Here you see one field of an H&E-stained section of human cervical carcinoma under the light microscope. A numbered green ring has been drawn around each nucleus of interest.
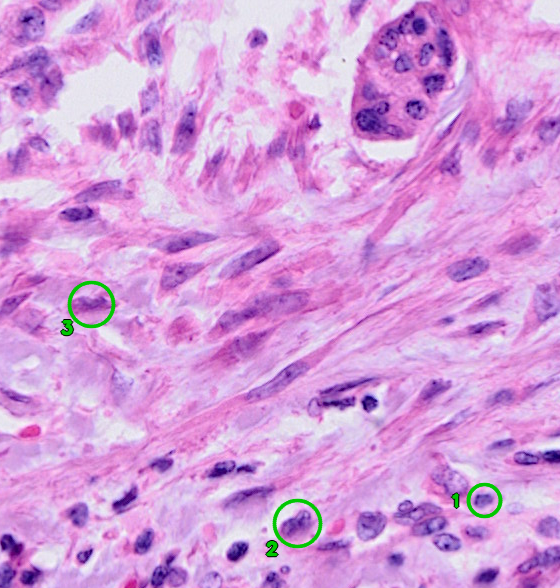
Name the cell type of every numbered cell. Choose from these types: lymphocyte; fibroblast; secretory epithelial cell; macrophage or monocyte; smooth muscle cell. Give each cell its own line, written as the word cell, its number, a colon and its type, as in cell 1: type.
cell 1: lymphocyte
cell 2: macrophage or monocyte
cell 3: fibroblast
